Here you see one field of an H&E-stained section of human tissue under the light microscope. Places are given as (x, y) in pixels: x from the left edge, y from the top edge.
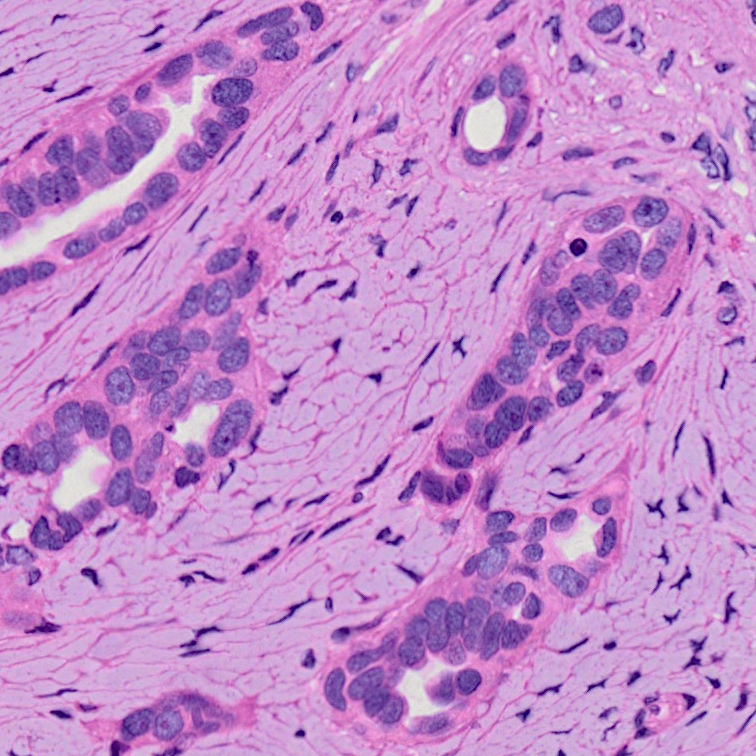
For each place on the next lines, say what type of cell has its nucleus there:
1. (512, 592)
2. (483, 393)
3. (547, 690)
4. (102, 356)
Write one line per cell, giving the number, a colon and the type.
1: carcinoma cell
2: carcinoma cell
3: fibroblast
4: fibroblast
